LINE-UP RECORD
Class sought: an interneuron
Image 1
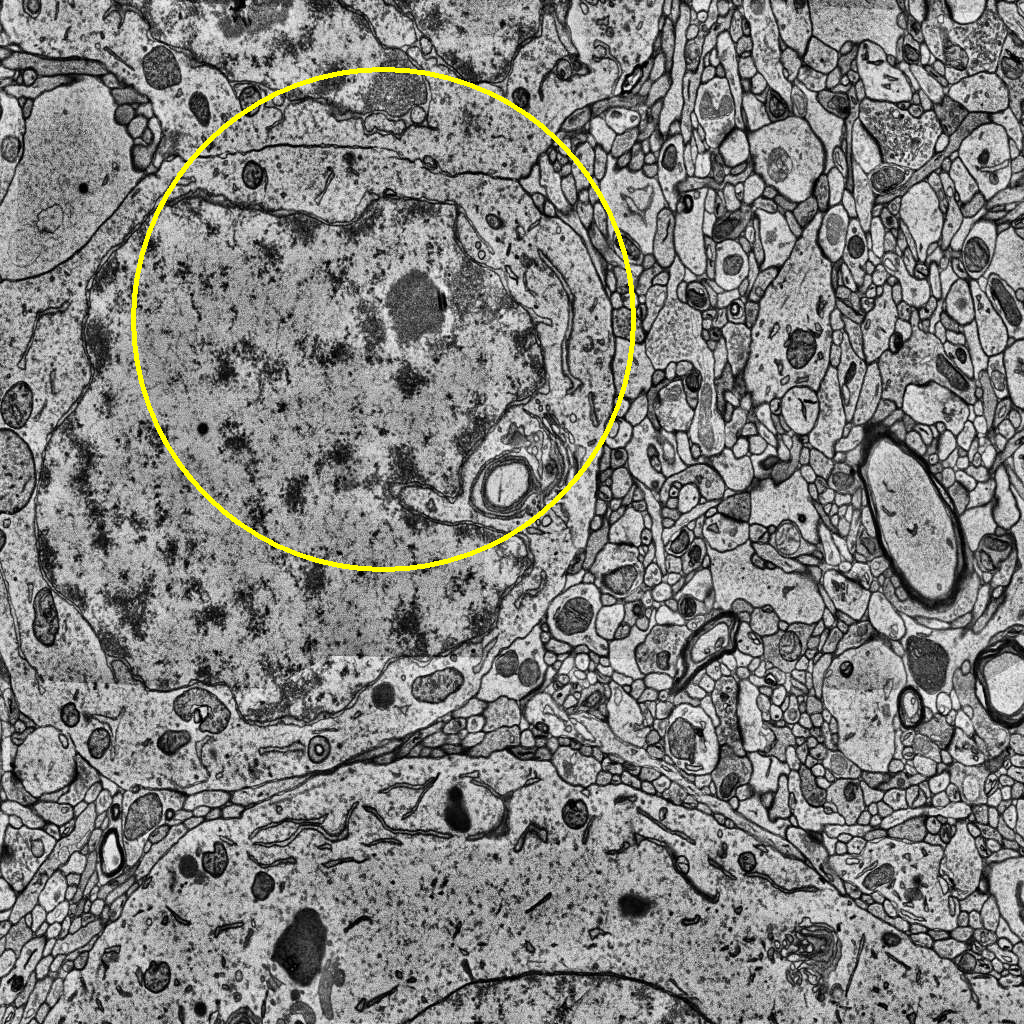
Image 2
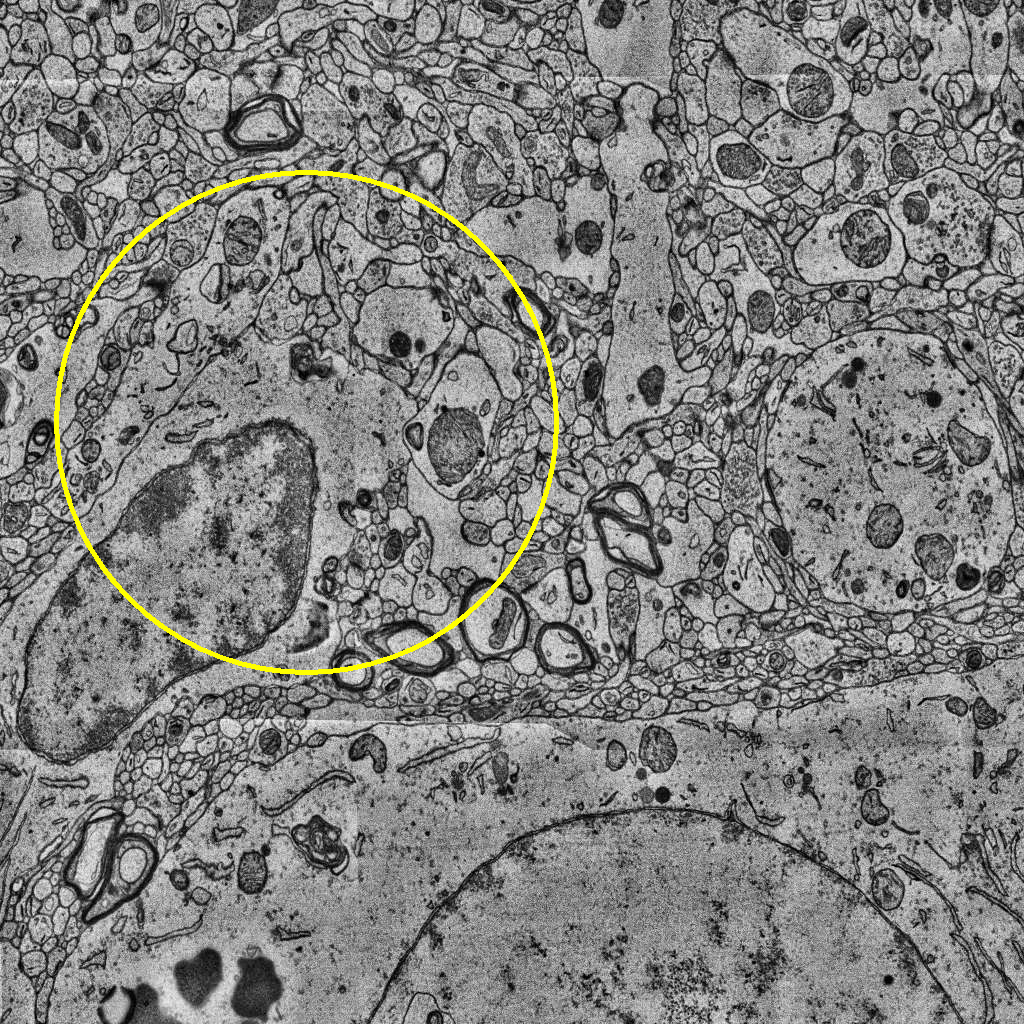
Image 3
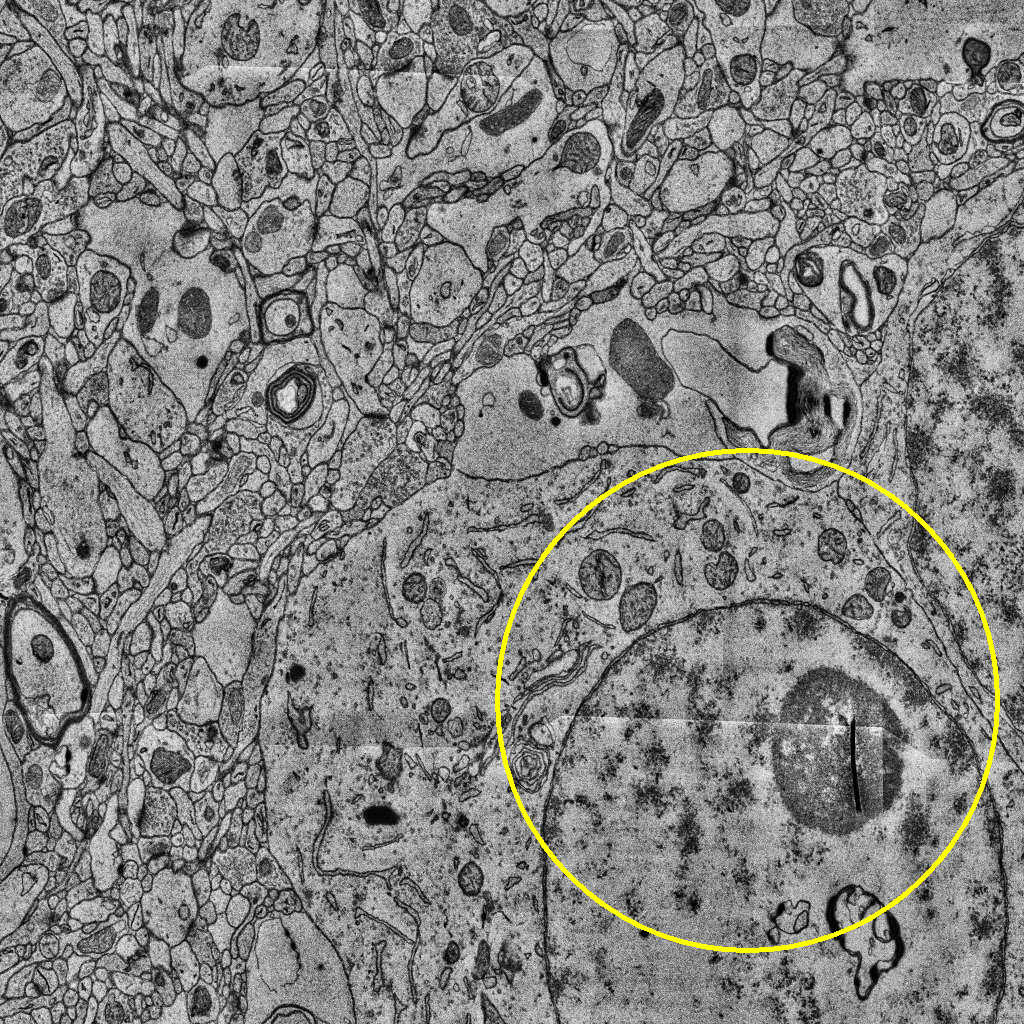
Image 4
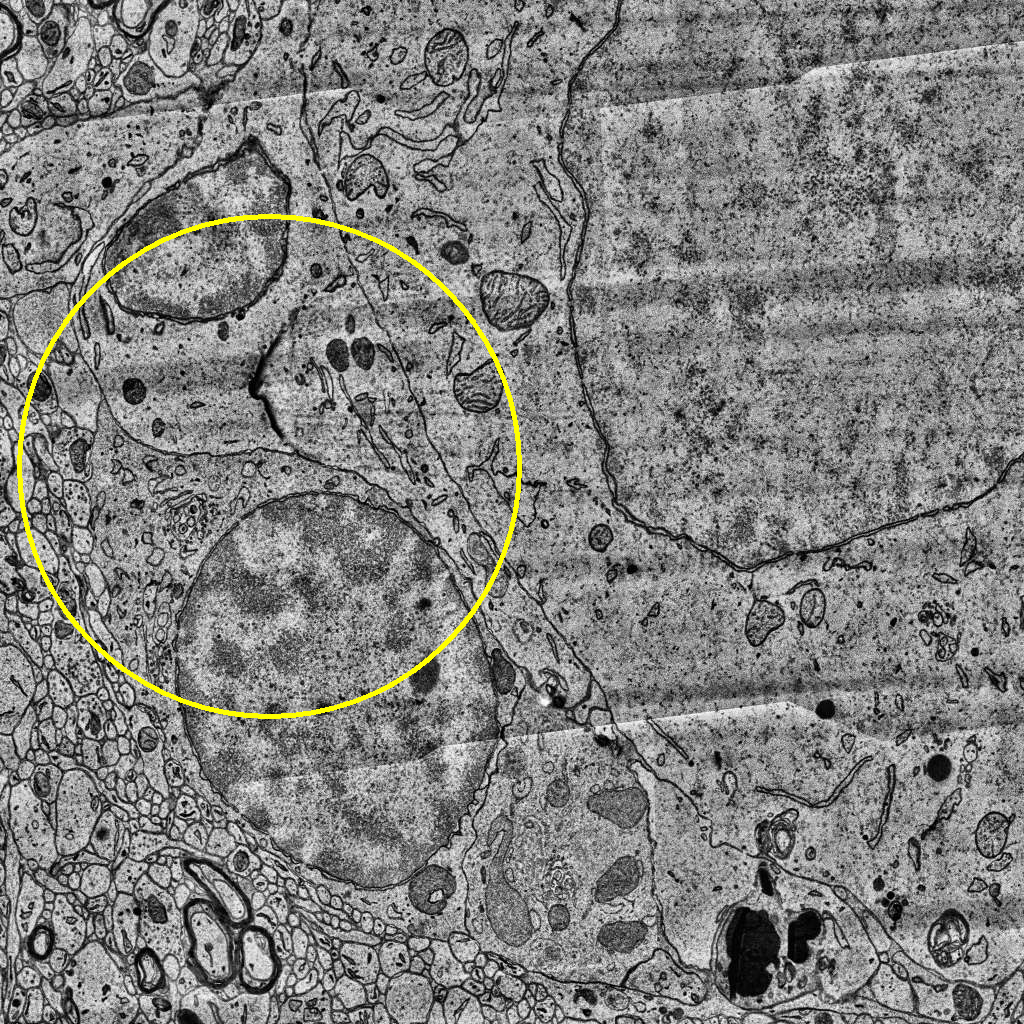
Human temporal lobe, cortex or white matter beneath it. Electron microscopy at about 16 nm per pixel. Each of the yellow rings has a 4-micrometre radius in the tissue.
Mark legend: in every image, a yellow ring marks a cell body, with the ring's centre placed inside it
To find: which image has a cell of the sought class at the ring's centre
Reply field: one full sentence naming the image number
The cell lying at the ring's centre in image 1 belongs to the class sought.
